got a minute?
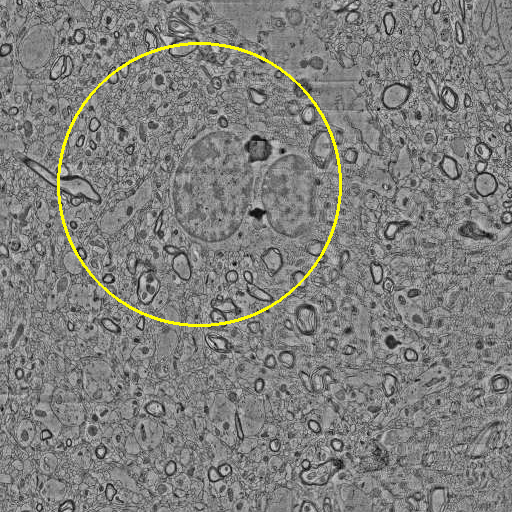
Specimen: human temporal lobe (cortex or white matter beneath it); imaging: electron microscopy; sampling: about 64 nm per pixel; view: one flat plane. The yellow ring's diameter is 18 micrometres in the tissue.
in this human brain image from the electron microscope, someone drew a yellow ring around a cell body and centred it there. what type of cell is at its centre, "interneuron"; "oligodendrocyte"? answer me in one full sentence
It's an oligodendrocyte at the middle of that yellow ring in the shot.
